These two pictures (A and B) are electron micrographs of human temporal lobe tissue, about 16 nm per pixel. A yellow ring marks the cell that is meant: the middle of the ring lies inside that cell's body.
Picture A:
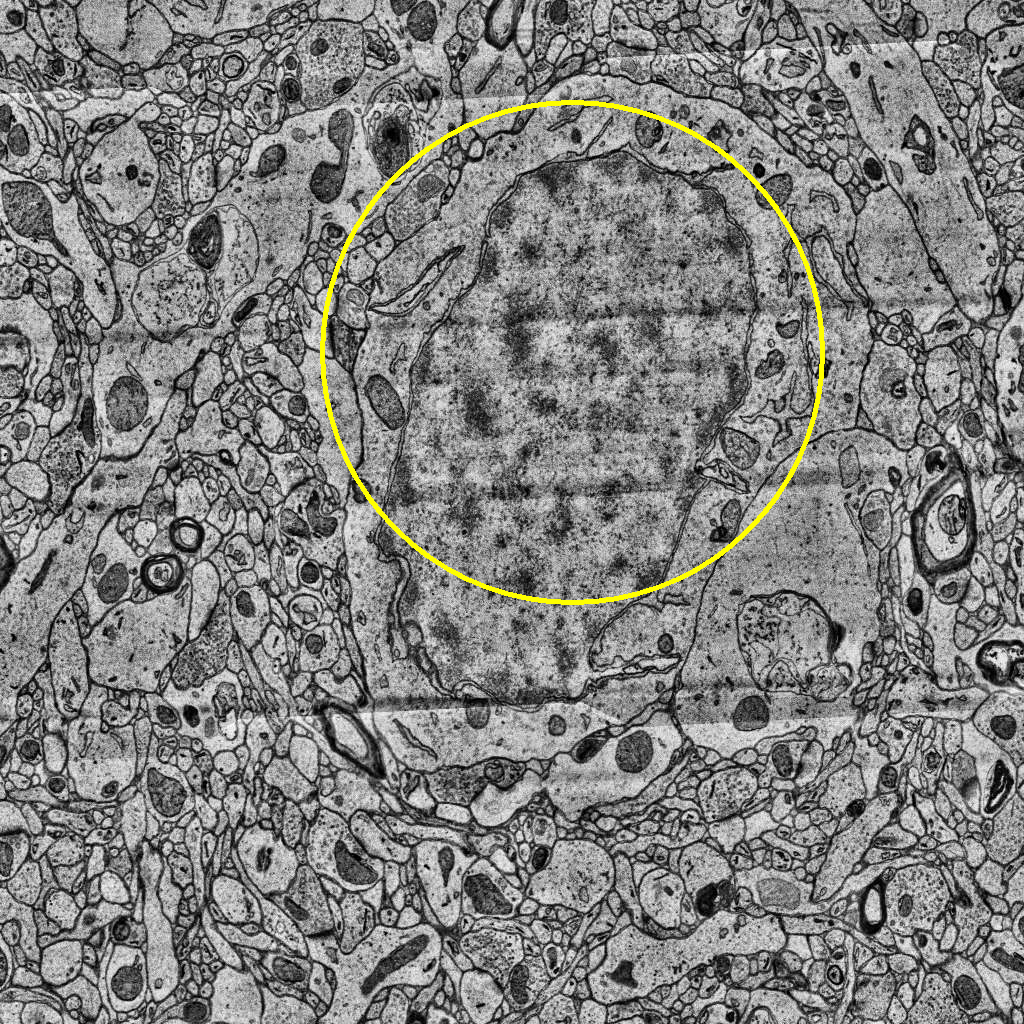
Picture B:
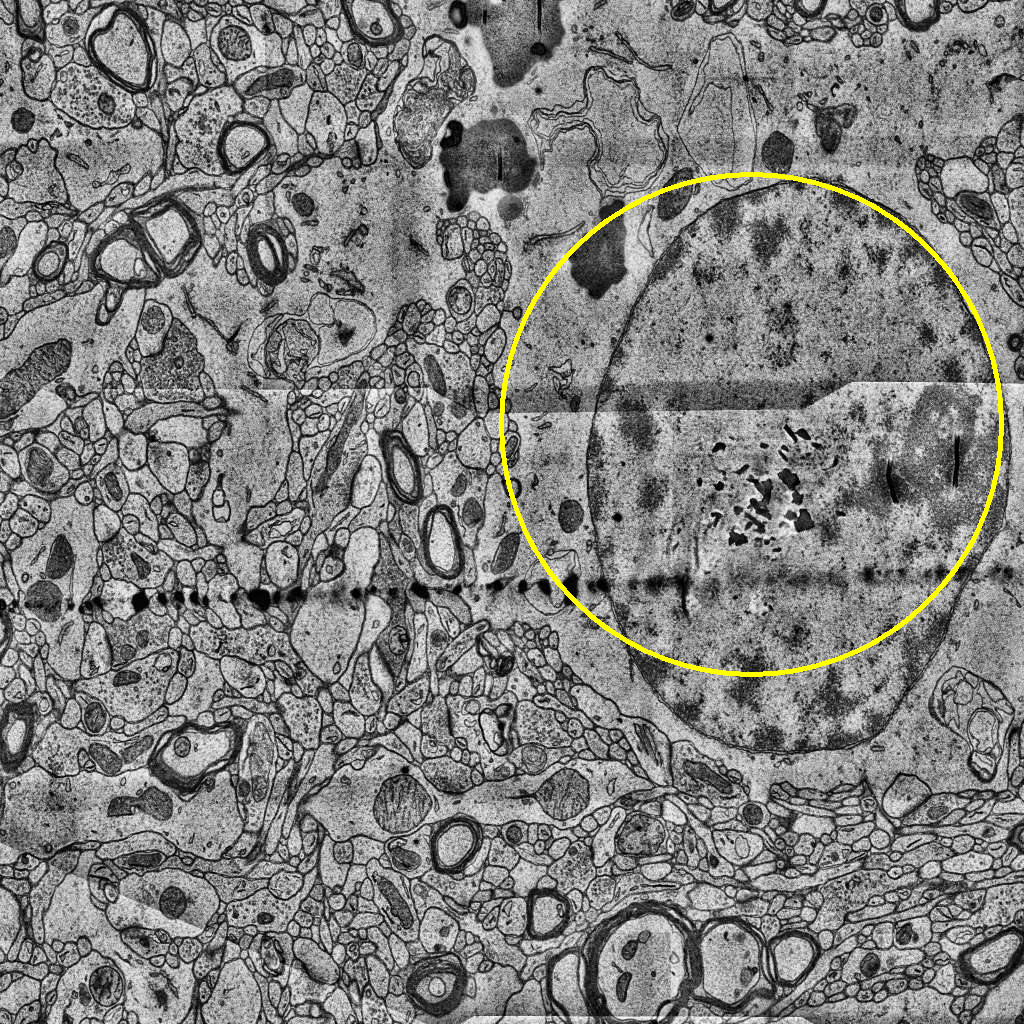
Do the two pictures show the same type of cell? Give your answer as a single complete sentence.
No. Picture A shows an interneuron, but picture B shows an astrocyte.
